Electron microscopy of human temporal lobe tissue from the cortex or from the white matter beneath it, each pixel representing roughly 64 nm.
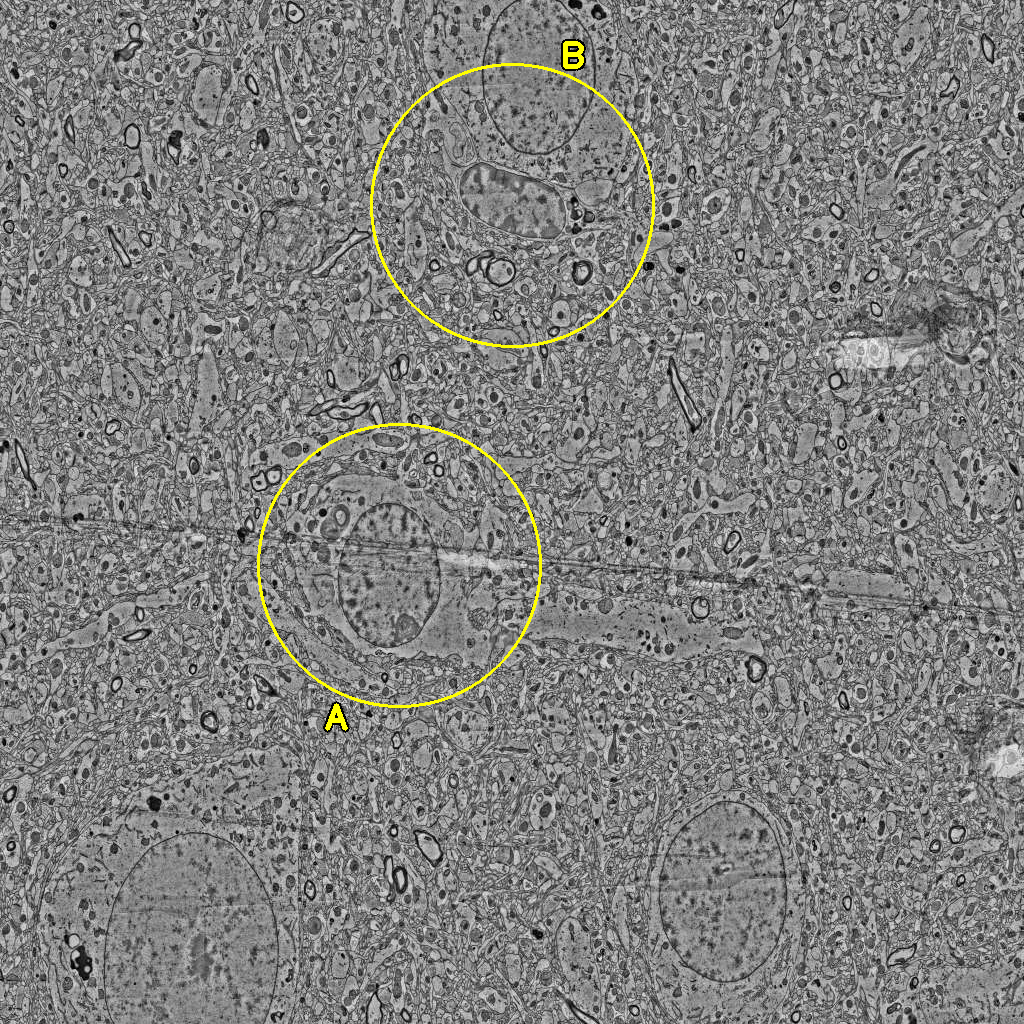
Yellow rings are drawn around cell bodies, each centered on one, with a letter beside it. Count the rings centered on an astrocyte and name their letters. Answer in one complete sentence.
In this micrograph, only one ring, the one marked A, is centred on an astrocyte.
